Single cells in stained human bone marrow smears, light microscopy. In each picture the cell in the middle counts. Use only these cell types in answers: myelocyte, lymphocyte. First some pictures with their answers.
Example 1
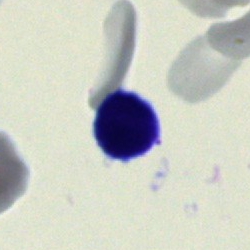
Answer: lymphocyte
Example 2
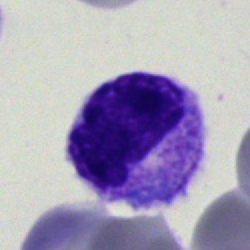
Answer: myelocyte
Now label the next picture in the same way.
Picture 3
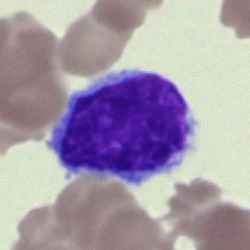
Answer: lymphocyte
